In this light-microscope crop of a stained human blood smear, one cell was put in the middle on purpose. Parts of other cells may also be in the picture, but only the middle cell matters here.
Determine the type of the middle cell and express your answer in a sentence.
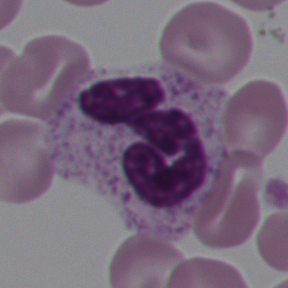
The cell in the middle of this crop is a segmented neutrophil.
